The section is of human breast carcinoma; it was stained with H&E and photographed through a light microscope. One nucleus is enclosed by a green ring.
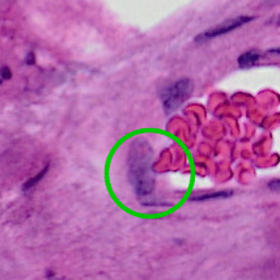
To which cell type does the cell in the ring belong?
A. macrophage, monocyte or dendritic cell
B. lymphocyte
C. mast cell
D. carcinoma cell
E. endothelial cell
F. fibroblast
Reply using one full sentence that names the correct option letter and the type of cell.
Since the cell in the ring is an endothelial cell, the right option is E.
